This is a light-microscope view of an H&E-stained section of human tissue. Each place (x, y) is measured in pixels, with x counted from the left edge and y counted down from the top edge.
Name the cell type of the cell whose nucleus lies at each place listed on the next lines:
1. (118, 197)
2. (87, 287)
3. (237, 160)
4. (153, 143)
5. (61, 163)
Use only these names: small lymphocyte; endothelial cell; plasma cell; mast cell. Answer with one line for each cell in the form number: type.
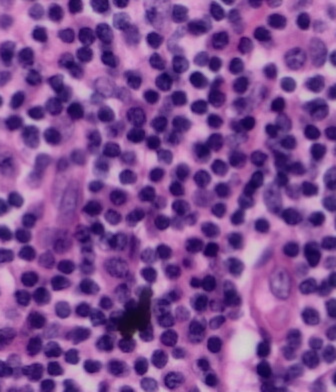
1: plasma cell
2: small lymphocyte
3: small lymphocyte
4: small lymphocyte
5: endothelial cell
